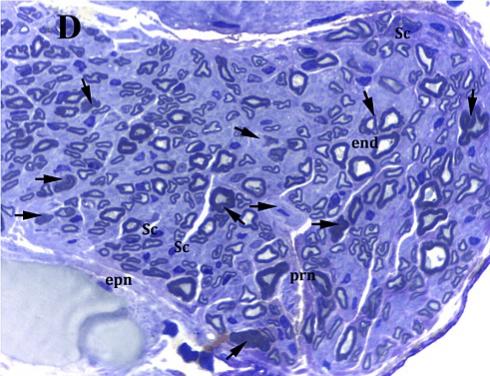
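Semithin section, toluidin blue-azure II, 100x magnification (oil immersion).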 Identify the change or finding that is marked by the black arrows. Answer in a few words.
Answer: Degenerated myelinated nerve fibers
